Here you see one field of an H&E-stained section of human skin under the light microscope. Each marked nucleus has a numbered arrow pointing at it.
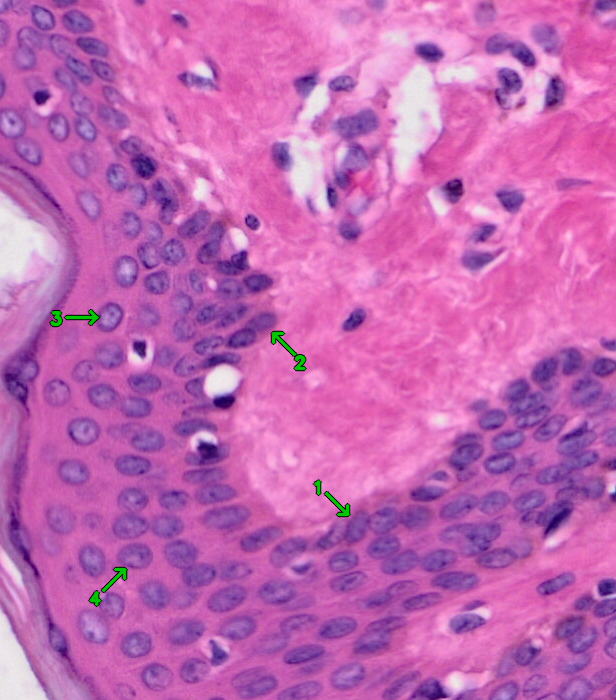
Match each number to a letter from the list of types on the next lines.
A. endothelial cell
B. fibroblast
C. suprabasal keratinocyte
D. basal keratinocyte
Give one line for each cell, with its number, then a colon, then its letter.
1: D
2: D
3: C
4: C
